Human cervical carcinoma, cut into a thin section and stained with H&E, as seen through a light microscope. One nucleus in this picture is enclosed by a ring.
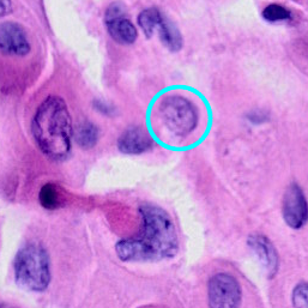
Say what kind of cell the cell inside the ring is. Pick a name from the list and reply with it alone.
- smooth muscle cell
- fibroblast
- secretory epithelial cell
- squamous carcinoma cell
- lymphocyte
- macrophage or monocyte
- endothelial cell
squamous carcinoma cell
